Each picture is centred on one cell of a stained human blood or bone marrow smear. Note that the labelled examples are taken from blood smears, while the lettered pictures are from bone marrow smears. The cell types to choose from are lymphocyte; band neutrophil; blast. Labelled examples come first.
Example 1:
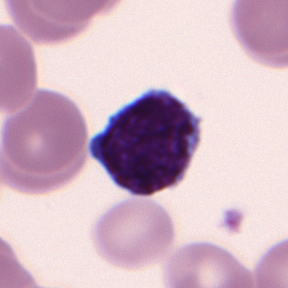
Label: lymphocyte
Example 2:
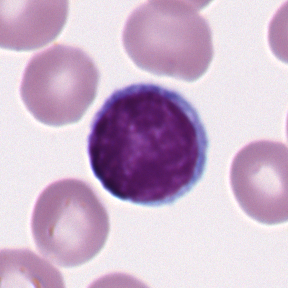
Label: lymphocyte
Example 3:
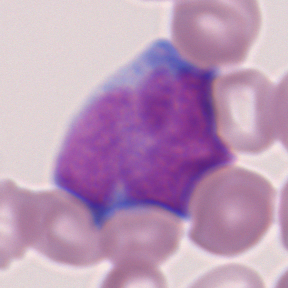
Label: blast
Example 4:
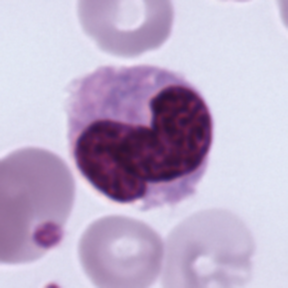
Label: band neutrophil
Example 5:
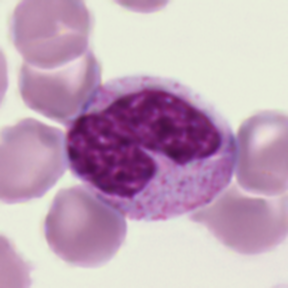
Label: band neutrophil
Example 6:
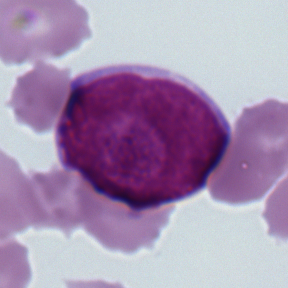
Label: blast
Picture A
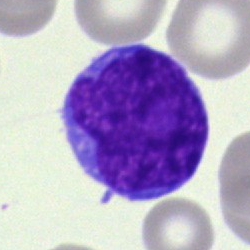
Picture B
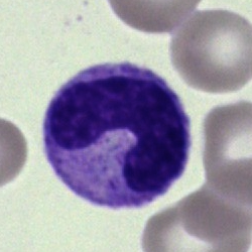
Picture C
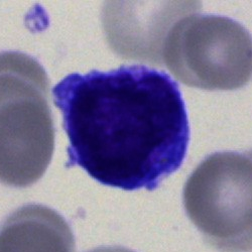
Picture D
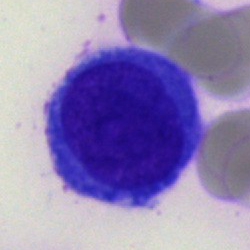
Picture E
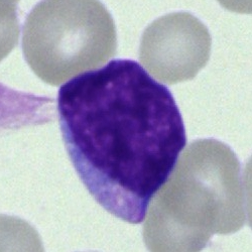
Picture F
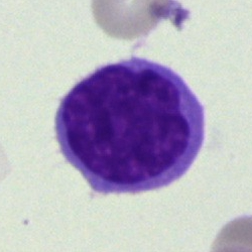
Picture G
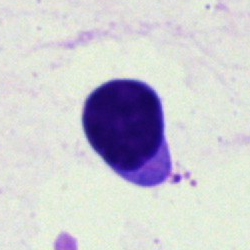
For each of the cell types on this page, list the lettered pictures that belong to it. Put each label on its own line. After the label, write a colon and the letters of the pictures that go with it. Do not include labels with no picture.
lymphocyte: G
band neutrophil: B
blast: A, C, D, E, F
